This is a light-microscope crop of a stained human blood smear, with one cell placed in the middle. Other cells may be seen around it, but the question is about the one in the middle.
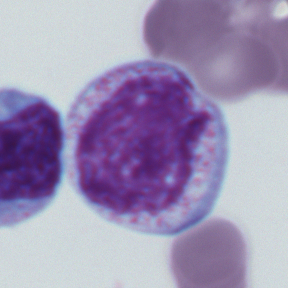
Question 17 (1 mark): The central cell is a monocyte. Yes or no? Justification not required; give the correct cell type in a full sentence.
No, at the centre of this crop is found a myelocyte instead of a monocyte.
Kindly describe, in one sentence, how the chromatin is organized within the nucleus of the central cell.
The nuclear chromatin is fine, showing no coarse aggregates.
